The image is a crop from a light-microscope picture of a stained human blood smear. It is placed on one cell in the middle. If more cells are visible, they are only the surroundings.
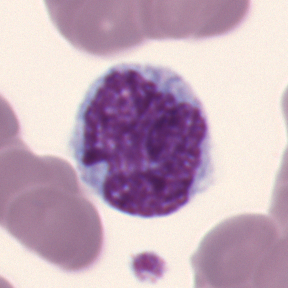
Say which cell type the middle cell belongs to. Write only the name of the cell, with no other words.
monocyte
